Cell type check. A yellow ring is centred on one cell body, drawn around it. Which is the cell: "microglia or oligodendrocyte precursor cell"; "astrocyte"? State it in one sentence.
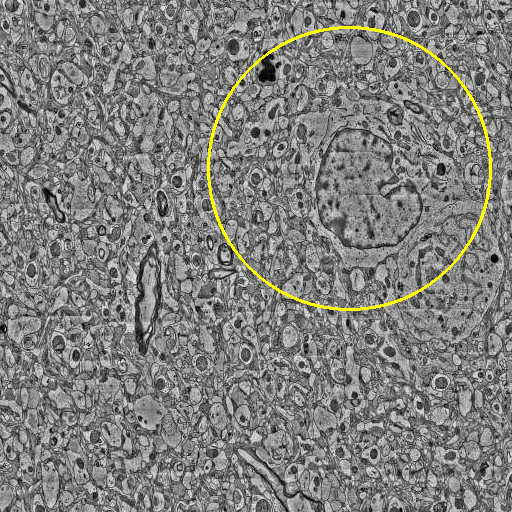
The cell body at the ring's centre belongs to a microglial cell or oligodendrocyte precursor cell.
